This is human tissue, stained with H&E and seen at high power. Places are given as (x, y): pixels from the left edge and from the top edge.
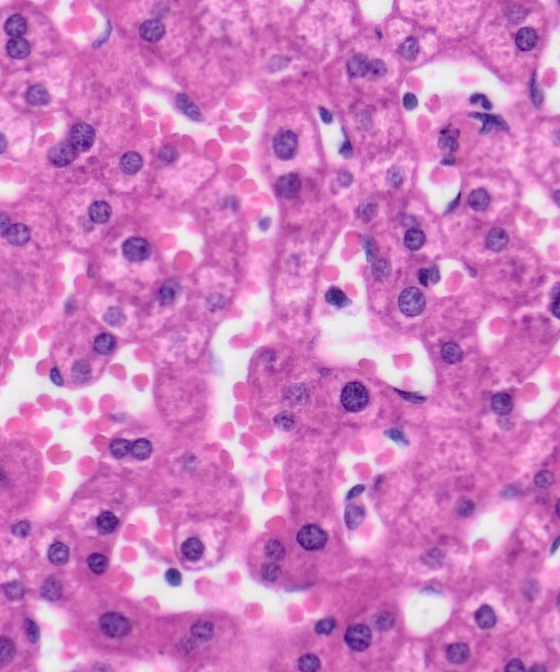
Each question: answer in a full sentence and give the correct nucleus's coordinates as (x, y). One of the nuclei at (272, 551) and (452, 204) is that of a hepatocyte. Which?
So, of the two, the nucleus at (272, 551) is the one belonging to a hepatocyte.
